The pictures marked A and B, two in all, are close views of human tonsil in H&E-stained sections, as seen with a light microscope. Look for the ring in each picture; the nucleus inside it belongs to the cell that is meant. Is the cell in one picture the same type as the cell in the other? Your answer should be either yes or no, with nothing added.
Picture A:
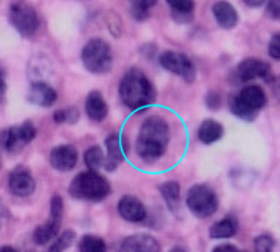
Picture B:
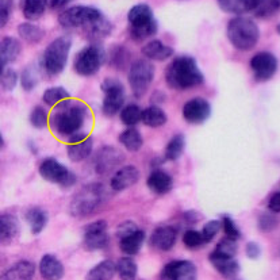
yes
